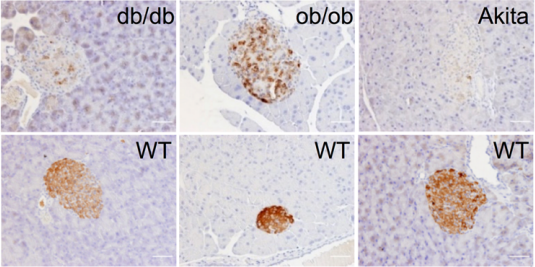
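Six fields of pancreas each show a pancreatic islet among surrounding glandular tissue counterstained blue. The brown stain within the islets varies markedly between fields, from strong and uniform to patchy. In one field the islet is only faintly stained and barely stands out from its surroundings. The surrounding exocrine tissue stays largely unstained, showing pale cytoplasm and blue nuclei.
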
